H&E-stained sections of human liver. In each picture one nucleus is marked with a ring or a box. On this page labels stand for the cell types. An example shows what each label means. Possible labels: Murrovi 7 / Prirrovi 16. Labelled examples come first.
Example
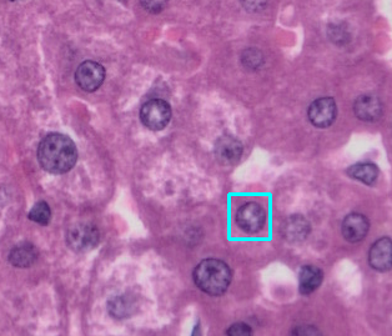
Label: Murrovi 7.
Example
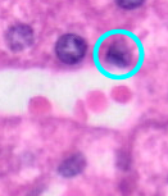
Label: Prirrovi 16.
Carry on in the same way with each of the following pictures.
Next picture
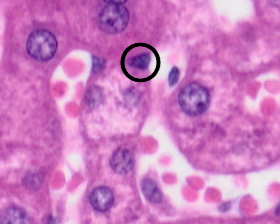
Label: Prirrovi 16.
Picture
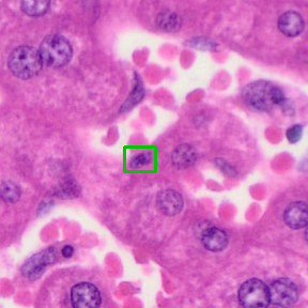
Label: Prirrovi 16.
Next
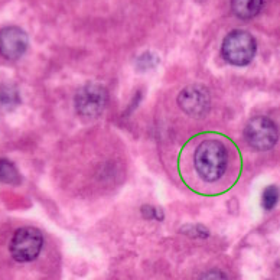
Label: Murrovi 7.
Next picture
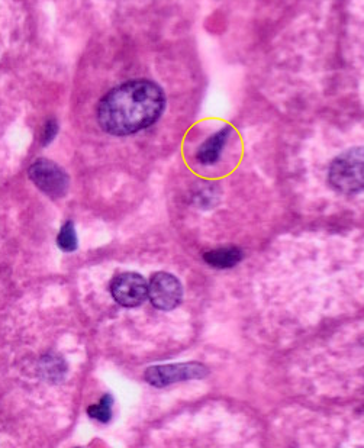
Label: Prirrovi 16.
